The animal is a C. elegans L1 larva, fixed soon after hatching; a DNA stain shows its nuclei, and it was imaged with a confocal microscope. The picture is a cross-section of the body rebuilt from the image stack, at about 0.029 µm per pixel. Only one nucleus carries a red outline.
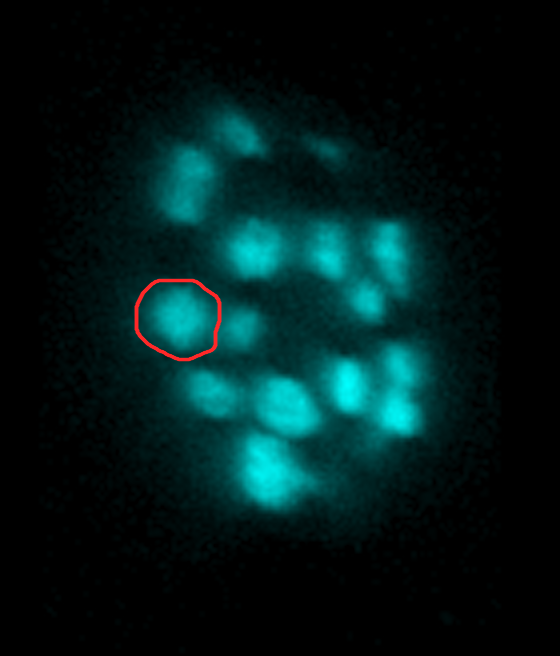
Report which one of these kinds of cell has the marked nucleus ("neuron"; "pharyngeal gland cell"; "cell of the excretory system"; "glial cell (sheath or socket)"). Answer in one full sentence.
The marked cell is a neuron.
